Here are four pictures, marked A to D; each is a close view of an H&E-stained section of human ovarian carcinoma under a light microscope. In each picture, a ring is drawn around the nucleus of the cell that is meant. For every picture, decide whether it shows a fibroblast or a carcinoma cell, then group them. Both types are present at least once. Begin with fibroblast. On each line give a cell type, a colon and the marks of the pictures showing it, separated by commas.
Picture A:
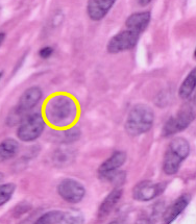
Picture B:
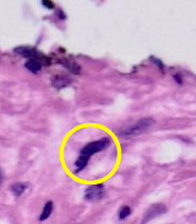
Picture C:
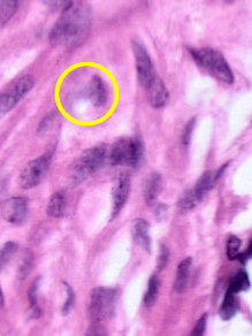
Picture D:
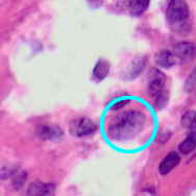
fibroblast: B, C
carcinoma cell: A, D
